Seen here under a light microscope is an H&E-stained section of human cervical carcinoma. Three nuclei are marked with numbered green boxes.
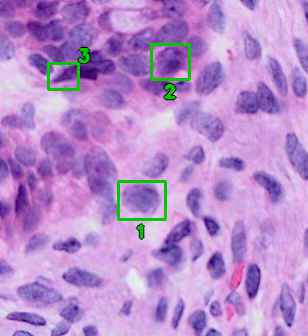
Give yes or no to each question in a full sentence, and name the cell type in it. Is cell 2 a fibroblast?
No, cell 2 is not a fibroblast; it is a secretory epithelial cell.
